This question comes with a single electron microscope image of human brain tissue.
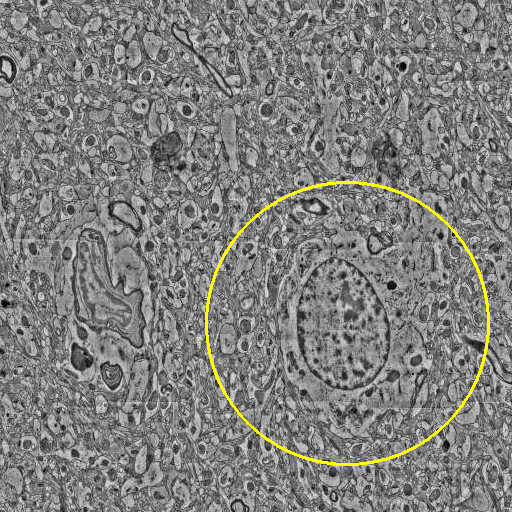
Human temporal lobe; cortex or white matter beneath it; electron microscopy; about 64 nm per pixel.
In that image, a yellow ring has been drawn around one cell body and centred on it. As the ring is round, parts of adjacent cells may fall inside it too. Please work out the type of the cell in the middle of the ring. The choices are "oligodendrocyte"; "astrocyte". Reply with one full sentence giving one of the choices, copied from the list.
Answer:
Of the choices, an astrocyte is the cell sitting in the middle of the ring.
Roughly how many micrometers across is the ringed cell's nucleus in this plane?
The nucleus works out at approximately 8 by 6 micrometres in this plane.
